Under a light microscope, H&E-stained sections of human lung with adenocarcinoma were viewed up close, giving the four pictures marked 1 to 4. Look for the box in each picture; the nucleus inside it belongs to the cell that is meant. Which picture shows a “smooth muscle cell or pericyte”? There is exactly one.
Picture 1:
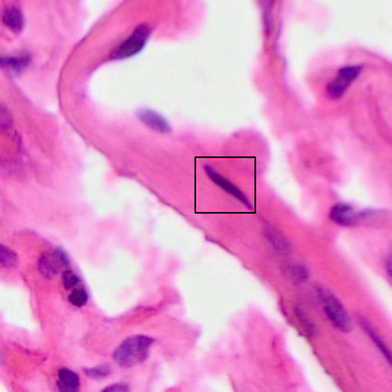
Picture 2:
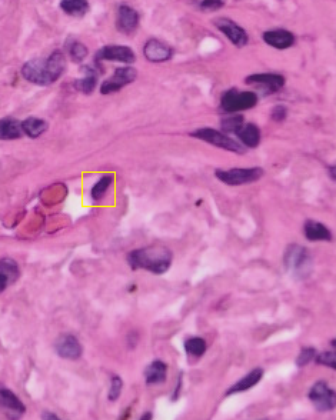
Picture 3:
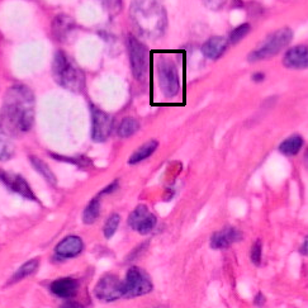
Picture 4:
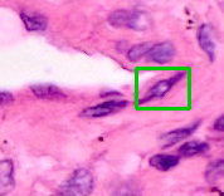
4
